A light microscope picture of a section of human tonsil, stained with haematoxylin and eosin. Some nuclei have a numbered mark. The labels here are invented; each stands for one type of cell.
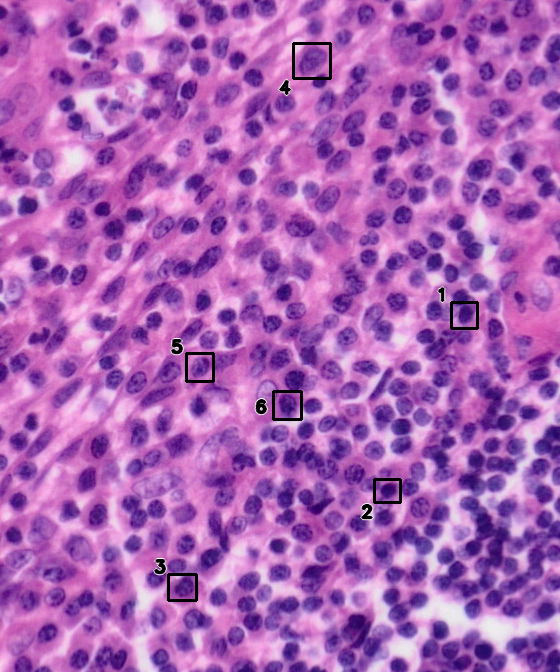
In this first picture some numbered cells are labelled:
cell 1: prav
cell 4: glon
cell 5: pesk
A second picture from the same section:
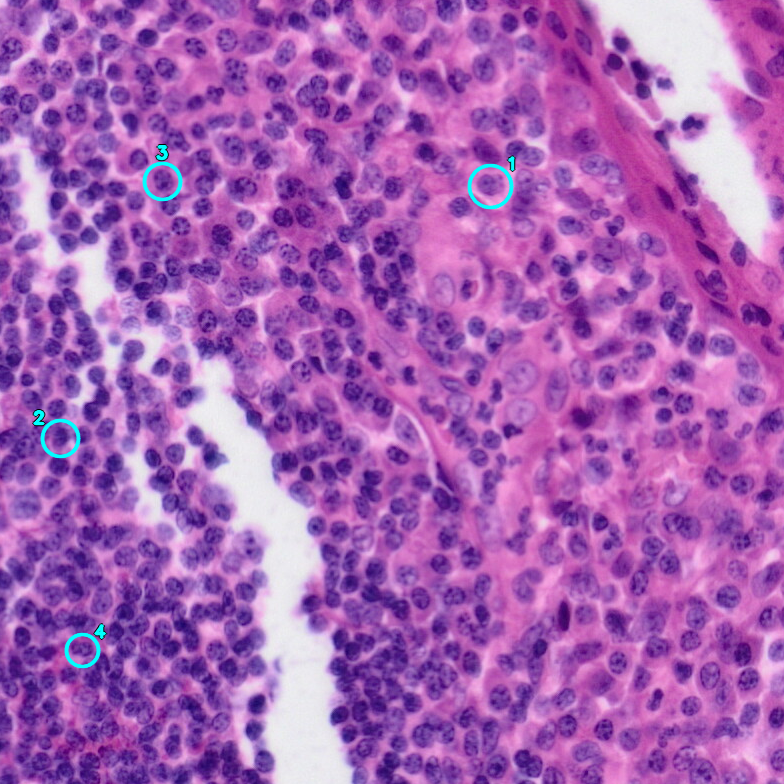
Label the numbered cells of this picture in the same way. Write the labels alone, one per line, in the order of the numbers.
glon
prav
pesk
prav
